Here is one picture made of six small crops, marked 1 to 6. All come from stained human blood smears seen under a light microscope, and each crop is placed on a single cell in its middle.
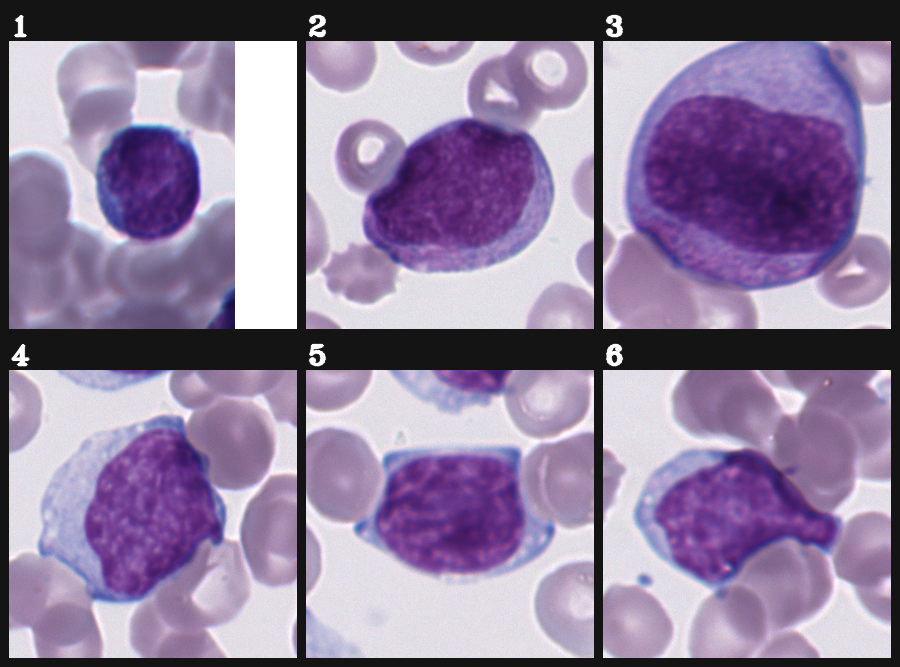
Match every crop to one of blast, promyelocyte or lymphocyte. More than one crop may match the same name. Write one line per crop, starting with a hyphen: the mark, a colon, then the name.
- 1: lymphocyte
- 2: promyelocyte
- 3: promyelocyte
- 4: blast
- 5: blast
- 6: blast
